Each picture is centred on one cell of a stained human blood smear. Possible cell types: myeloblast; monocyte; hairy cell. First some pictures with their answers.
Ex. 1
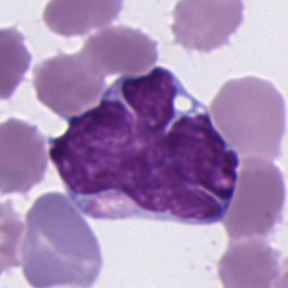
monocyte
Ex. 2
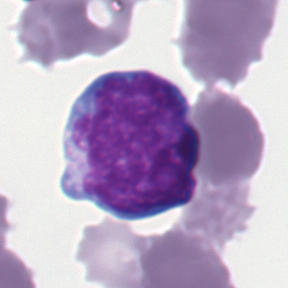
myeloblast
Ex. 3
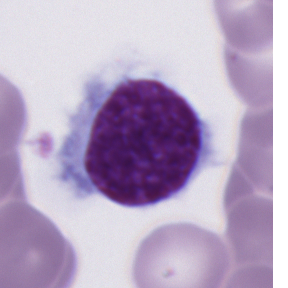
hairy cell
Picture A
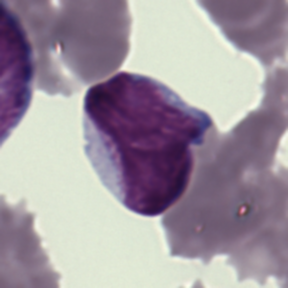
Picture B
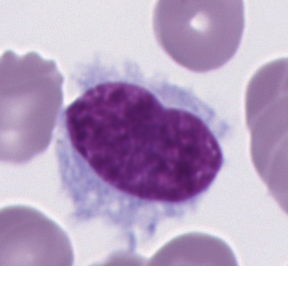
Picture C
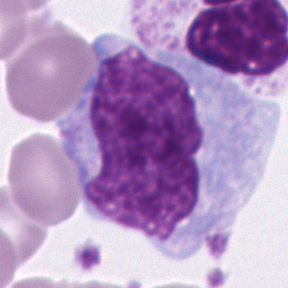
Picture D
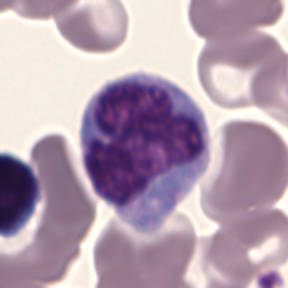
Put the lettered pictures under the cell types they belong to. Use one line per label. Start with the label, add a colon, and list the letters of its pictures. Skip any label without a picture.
myeloblast: A
monocyte: C, D
hairy cell: B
